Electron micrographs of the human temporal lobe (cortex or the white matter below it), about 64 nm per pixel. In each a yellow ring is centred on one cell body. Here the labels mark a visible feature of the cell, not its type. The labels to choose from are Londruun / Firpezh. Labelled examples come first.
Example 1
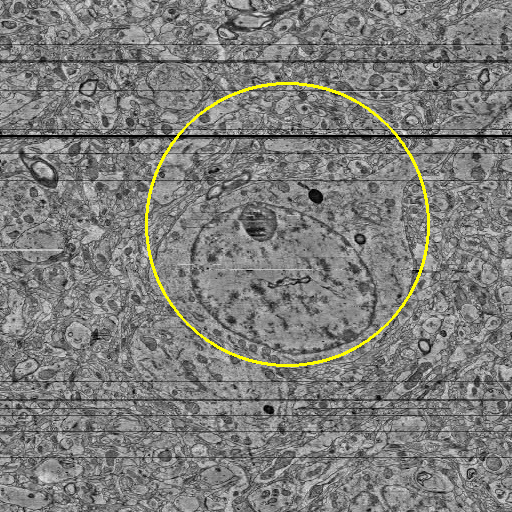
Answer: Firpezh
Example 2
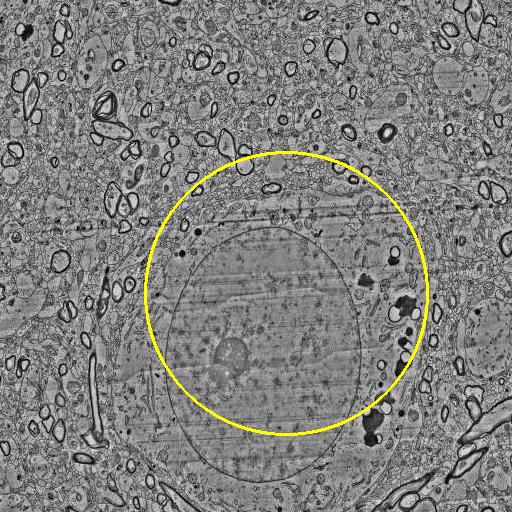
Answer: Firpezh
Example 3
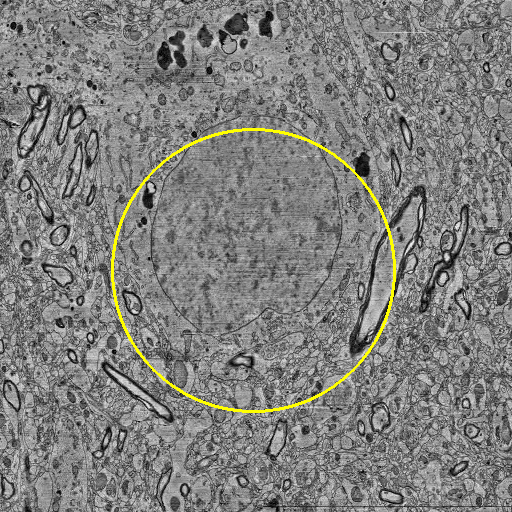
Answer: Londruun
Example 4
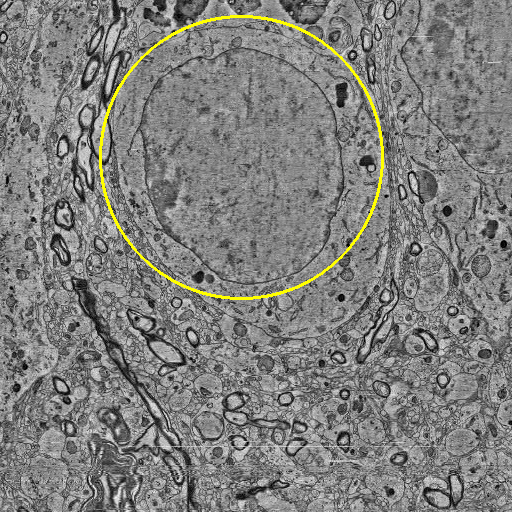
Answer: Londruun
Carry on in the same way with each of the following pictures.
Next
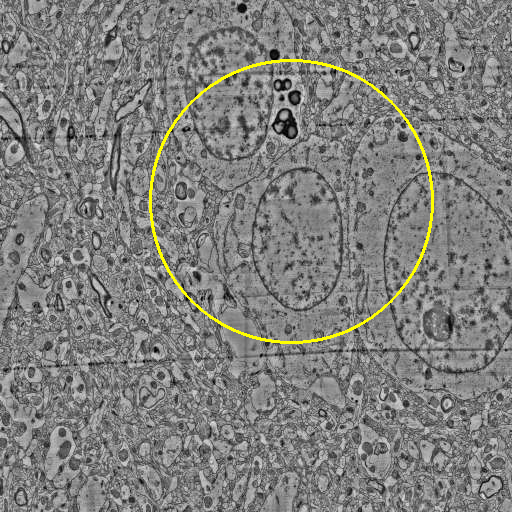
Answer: Londruun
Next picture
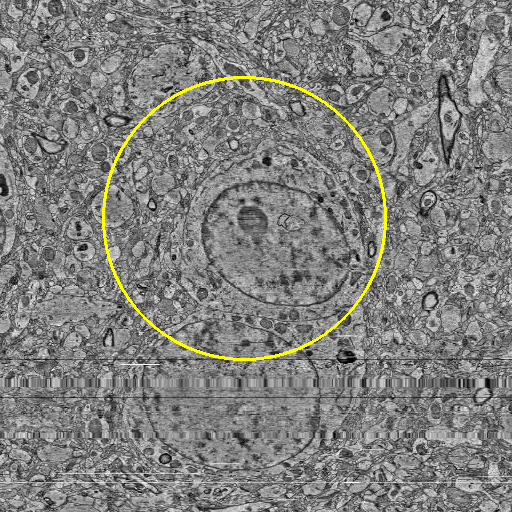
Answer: Firpezh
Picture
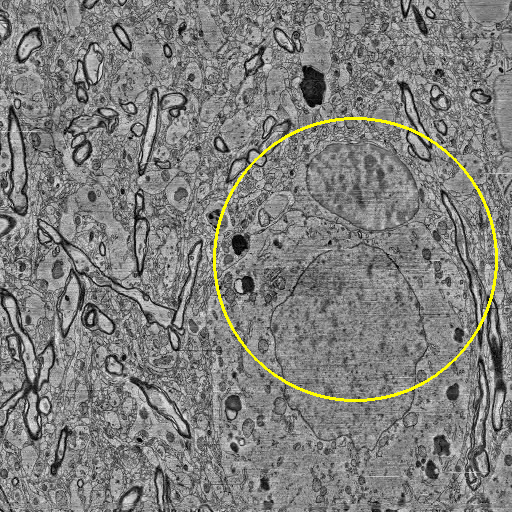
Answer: Londruun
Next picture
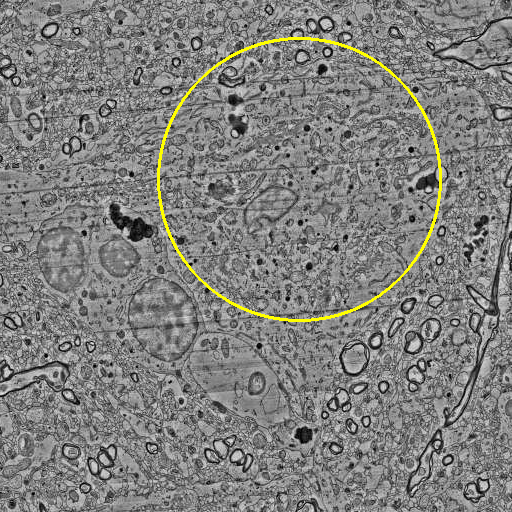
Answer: Londruun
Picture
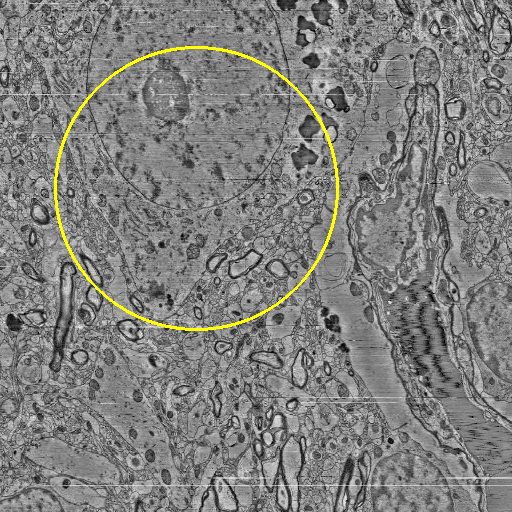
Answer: Firpezh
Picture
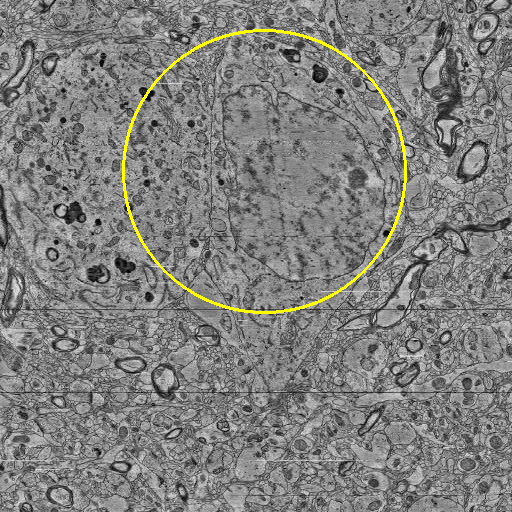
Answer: Firpezh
